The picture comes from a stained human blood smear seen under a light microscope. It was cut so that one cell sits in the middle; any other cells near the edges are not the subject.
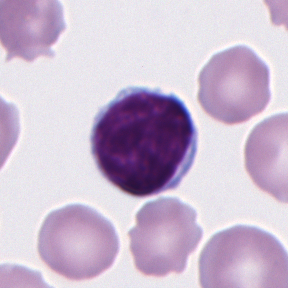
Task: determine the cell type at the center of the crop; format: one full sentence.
The centrally placed cell is classified as a typical lymphocyte.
